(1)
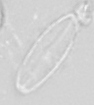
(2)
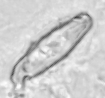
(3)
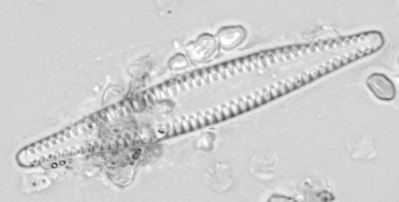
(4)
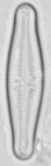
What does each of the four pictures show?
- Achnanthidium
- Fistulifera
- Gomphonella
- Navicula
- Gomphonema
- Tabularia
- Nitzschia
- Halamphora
1: Fistulifera
2: Achnanthidium
3: Tabularia
4: Achnanthidium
